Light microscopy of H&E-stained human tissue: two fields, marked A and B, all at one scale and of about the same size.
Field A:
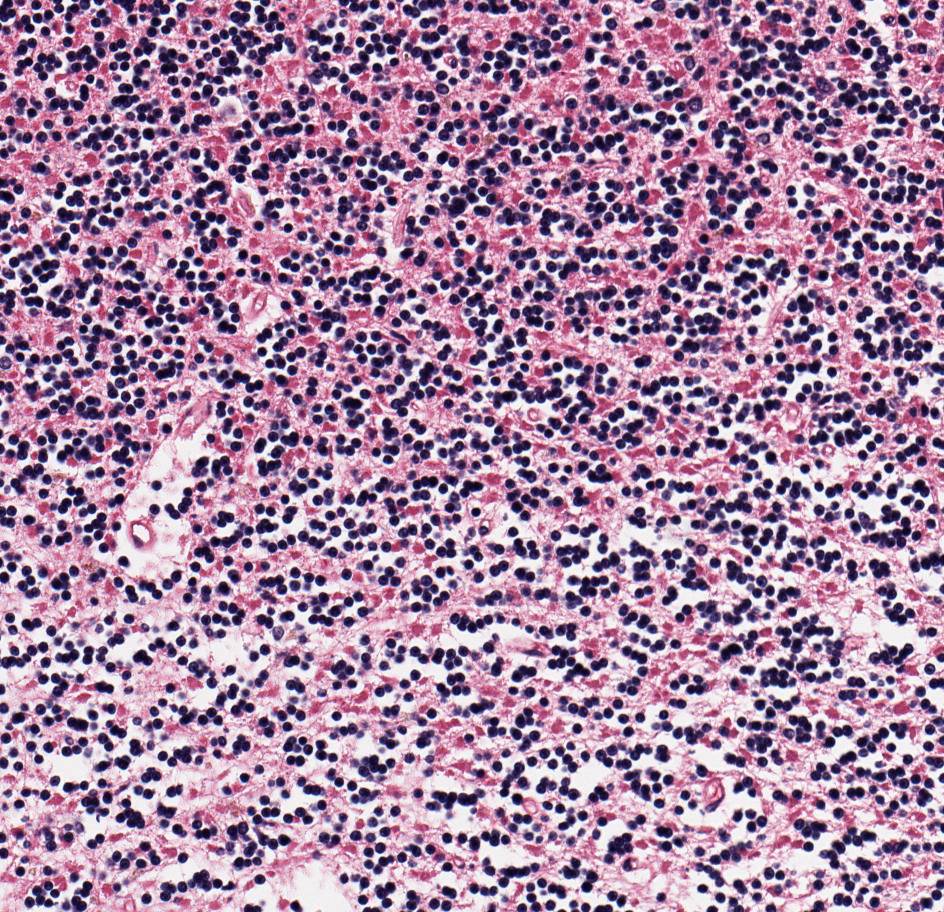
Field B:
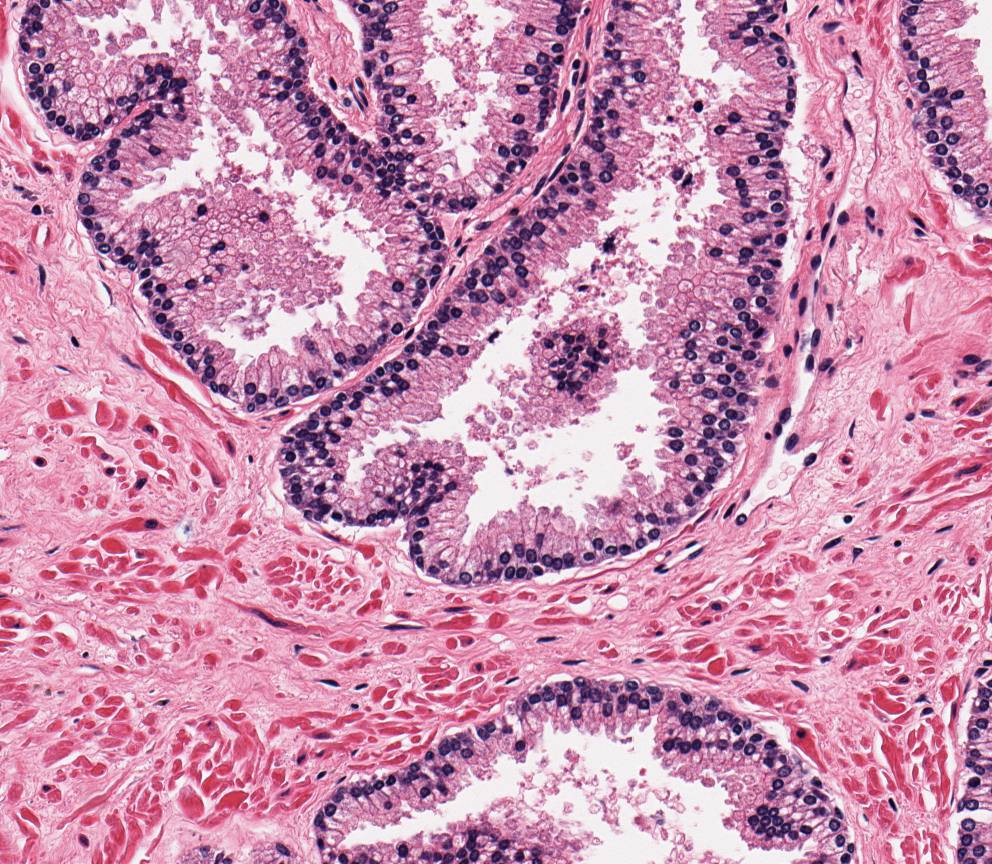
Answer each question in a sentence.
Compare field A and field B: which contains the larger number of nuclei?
The larger number of nuclei is in field A.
